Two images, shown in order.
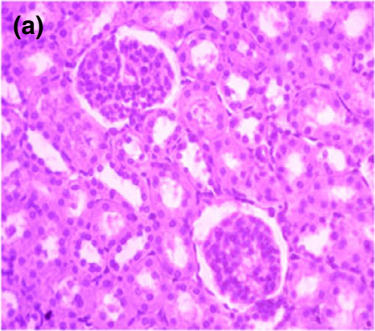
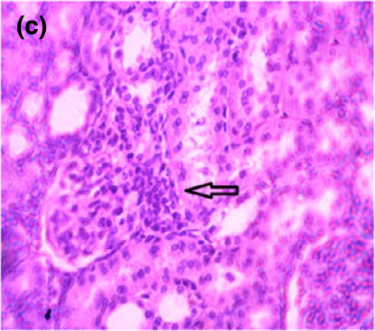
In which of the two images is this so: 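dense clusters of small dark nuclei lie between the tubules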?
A: The second image.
